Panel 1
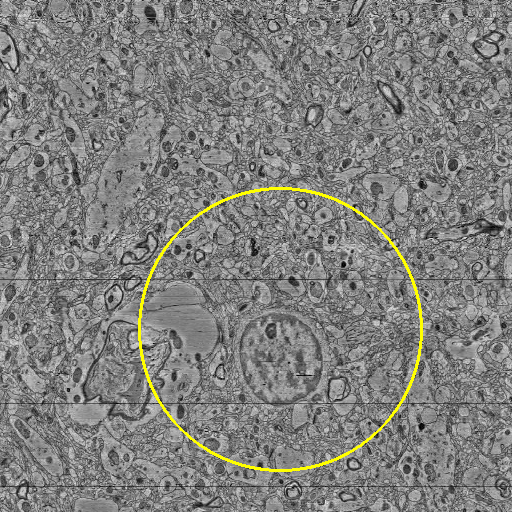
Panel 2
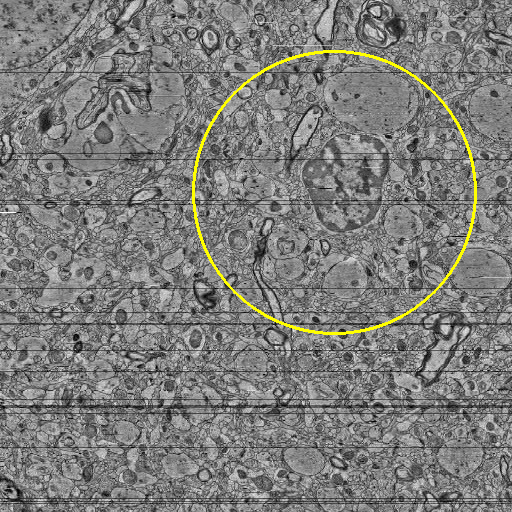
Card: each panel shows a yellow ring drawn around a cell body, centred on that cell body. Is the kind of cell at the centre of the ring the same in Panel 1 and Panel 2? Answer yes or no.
no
